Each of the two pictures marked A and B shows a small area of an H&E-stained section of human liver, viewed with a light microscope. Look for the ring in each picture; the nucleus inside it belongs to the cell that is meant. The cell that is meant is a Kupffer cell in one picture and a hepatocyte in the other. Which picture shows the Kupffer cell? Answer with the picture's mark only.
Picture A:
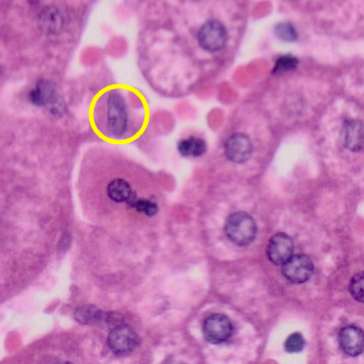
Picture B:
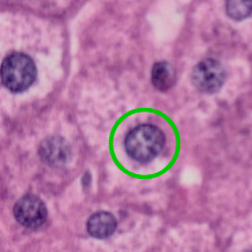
A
